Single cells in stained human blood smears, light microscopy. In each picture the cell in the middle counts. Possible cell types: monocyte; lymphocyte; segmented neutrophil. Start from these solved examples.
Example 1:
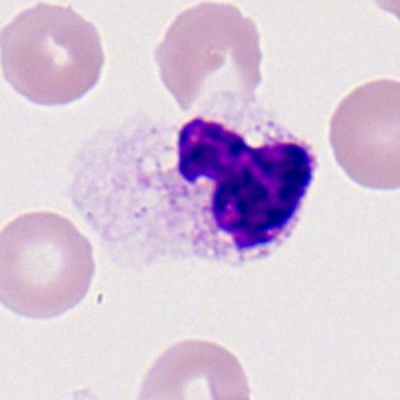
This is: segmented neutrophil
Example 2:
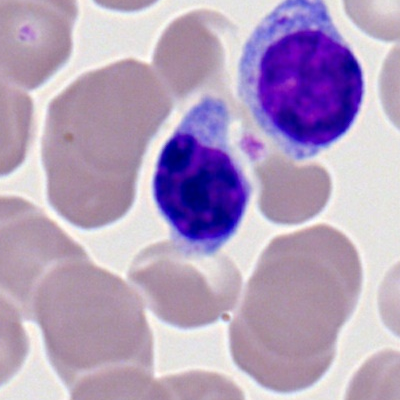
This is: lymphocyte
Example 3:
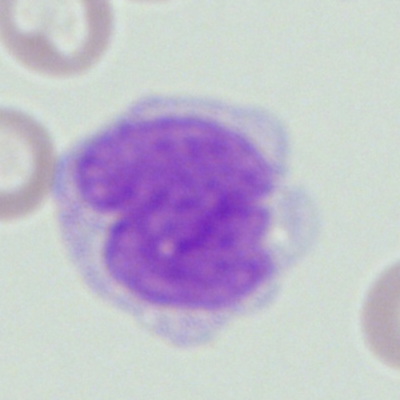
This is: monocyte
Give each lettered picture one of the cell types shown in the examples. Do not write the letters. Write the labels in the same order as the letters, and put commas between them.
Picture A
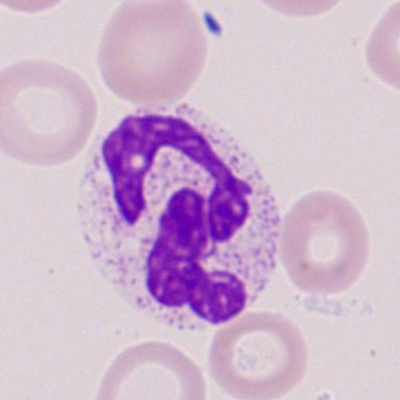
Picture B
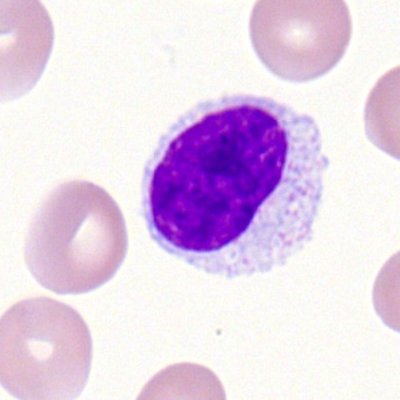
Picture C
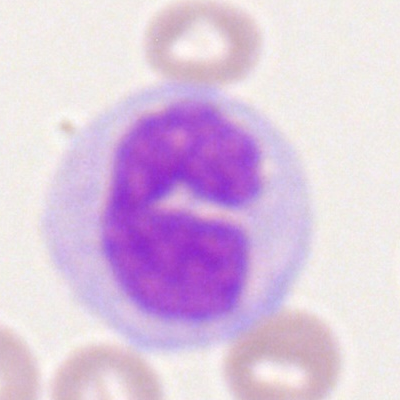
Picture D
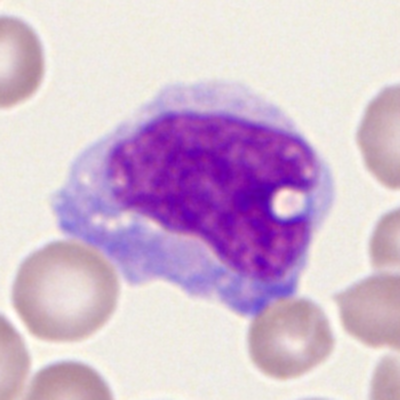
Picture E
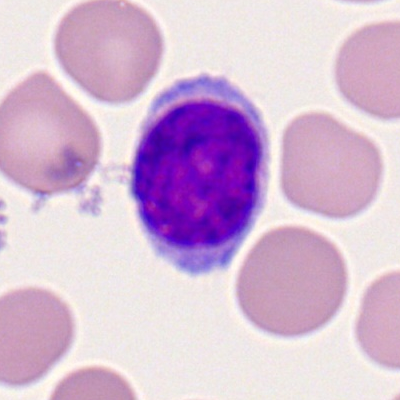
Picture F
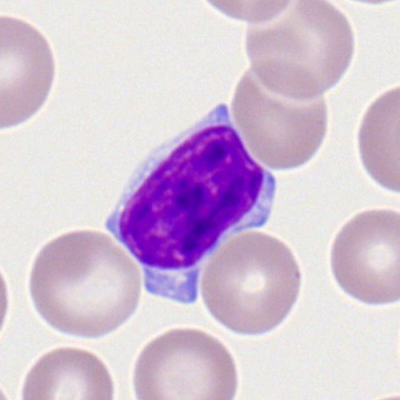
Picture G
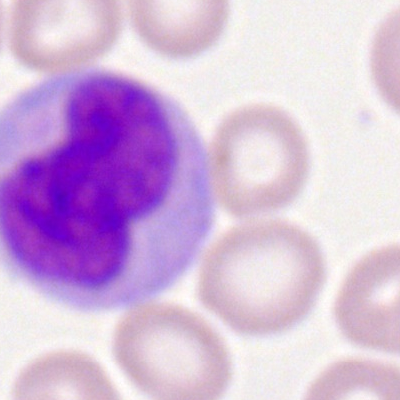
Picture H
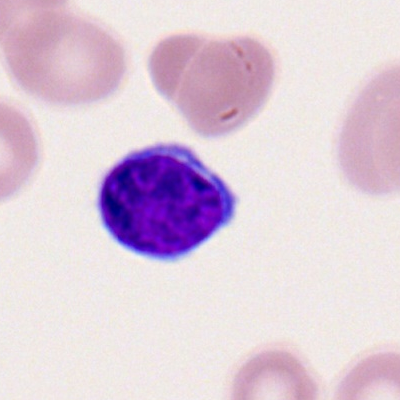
segmented neutrophil, lymphocyte, monocyte, monocyte, lymphocyte, lymphocyte, monocyte, lymphocyte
